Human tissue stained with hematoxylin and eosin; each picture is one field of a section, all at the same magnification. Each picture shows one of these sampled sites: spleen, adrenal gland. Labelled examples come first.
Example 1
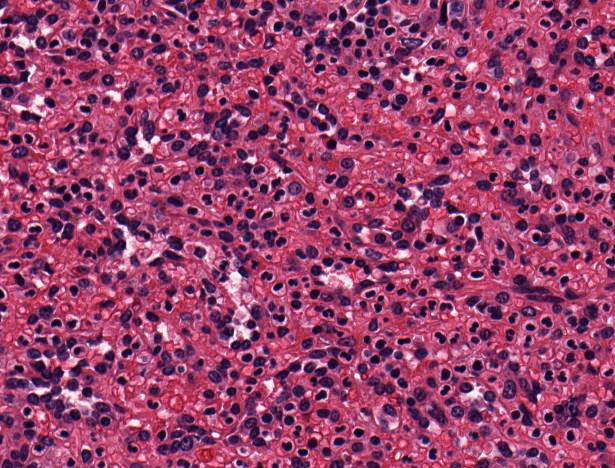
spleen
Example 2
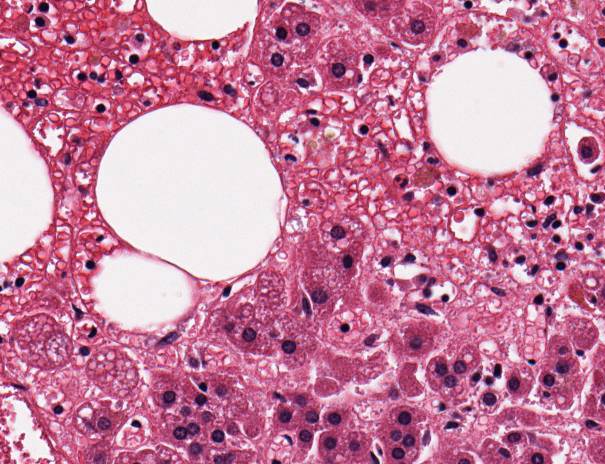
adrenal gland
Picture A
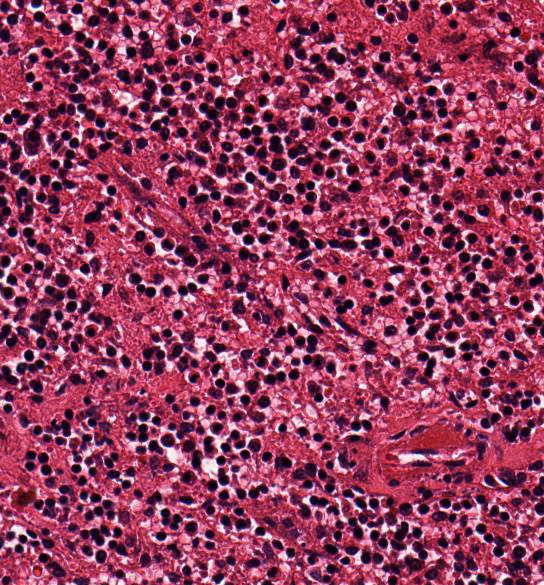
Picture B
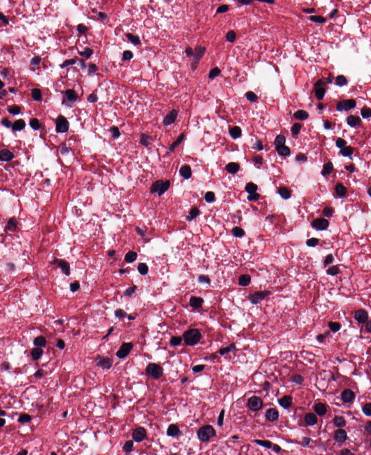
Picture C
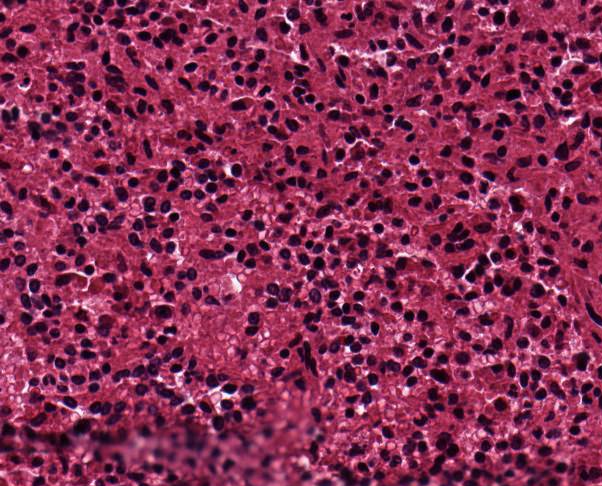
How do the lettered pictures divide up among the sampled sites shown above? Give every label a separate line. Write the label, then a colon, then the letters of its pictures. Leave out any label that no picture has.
spleen: A, C
adrenal gland: B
